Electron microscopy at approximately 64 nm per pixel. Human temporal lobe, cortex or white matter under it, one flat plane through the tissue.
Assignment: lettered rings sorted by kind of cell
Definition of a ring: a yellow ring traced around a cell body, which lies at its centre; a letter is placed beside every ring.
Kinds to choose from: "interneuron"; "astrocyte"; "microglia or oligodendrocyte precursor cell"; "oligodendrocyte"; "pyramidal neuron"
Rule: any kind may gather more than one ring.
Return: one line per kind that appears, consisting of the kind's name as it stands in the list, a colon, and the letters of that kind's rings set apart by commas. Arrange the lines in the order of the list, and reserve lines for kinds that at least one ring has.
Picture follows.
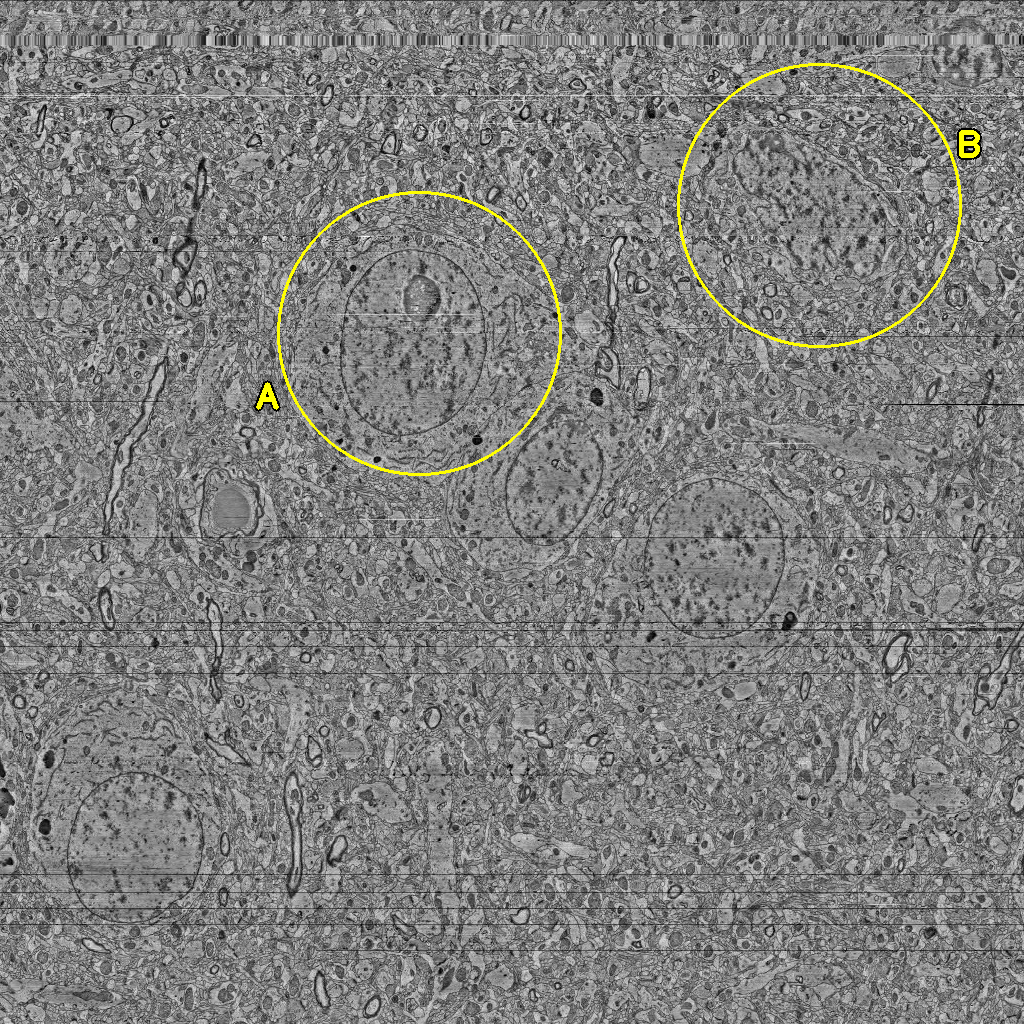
interneuron: B
pyramidal neuron: A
